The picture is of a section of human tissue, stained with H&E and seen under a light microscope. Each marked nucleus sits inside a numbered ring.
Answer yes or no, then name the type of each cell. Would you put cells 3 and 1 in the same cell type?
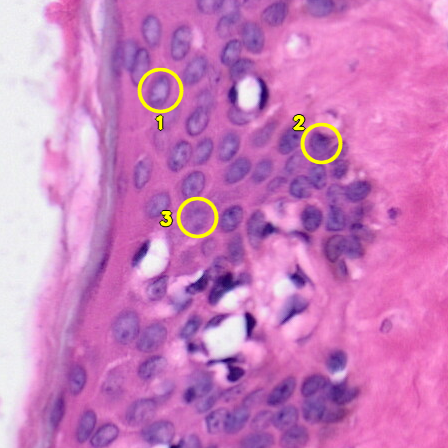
Yes, that is correct, cells 3 and 1 are both suprabasal keratinocytes.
